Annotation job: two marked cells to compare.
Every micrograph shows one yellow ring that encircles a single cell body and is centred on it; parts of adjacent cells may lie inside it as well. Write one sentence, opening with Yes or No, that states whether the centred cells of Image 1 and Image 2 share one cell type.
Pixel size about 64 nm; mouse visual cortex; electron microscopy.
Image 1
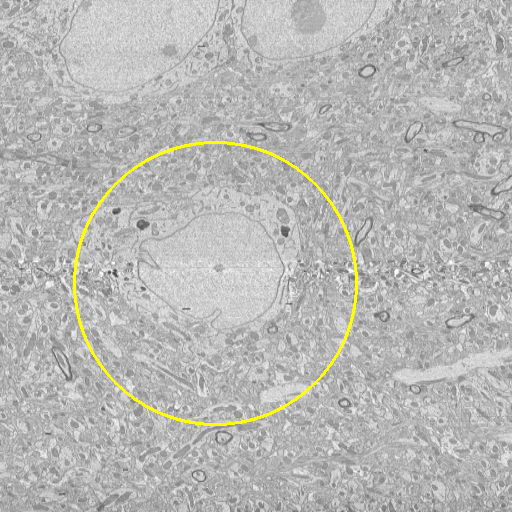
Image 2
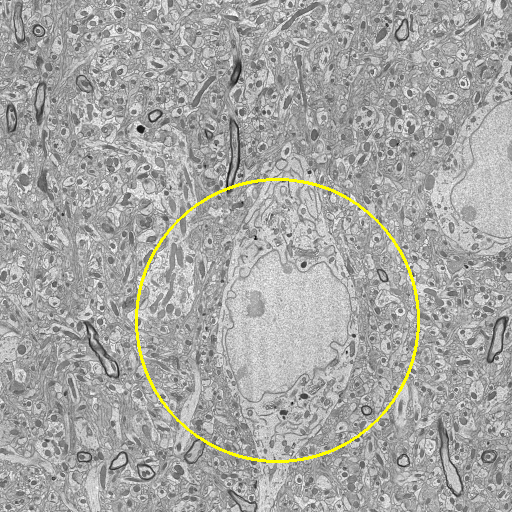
No, the cell centred in Image 1 and the cell centred in Image 2 are of two types.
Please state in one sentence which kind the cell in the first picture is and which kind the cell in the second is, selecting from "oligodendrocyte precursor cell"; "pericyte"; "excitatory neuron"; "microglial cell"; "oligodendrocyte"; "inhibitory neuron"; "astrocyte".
The first ringed cell is an excitatory neuron, the second ringed cell an inhibitory neuron.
